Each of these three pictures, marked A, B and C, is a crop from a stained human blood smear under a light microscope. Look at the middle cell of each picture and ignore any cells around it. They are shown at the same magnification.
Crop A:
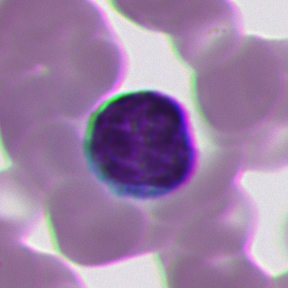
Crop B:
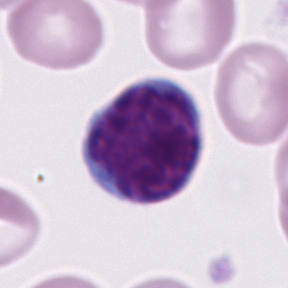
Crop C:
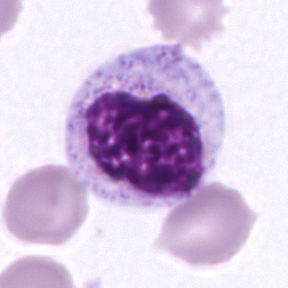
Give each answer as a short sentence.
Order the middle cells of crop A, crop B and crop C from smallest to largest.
The order is A, B, C, beginning with the smallest.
